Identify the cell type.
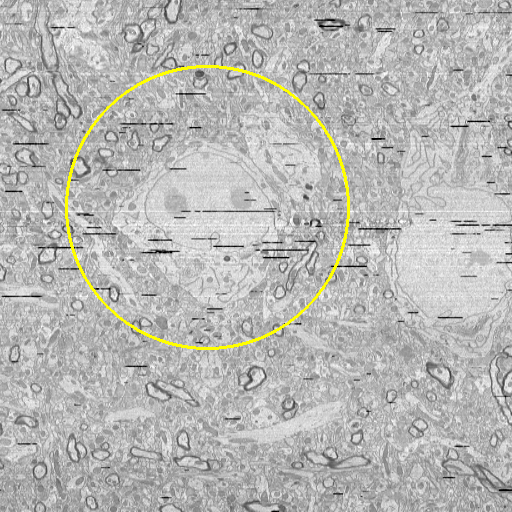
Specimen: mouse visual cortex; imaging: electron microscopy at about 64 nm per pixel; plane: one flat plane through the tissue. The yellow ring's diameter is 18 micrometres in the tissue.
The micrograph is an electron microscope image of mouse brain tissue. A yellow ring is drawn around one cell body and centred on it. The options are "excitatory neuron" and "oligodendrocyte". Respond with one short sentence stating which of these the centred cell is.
The cell body in the ring belongs to an excitatory neuron.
